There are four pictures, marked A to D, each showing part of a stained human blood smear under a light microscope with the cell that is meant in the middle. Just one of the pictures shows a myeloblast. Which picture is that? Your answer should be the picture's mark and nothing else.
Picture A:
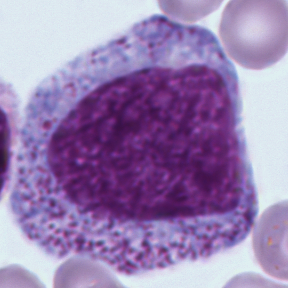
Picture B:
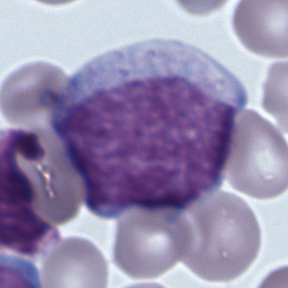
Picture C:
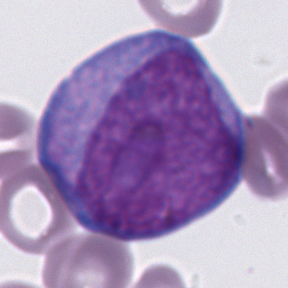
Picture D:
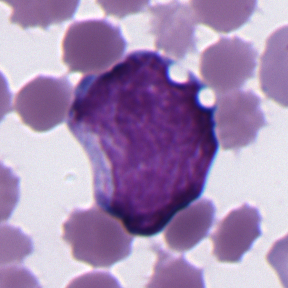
D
